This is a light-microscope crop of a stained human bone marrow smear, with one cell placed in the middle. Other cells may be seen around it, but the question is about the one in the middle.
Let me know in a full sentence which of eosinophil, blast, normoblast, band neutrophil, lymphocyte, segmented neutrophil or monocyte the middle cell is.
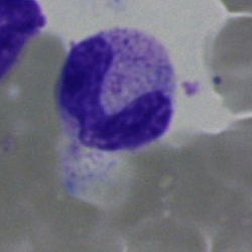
By classification, the middle cell of this crop is a band neutrophil.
